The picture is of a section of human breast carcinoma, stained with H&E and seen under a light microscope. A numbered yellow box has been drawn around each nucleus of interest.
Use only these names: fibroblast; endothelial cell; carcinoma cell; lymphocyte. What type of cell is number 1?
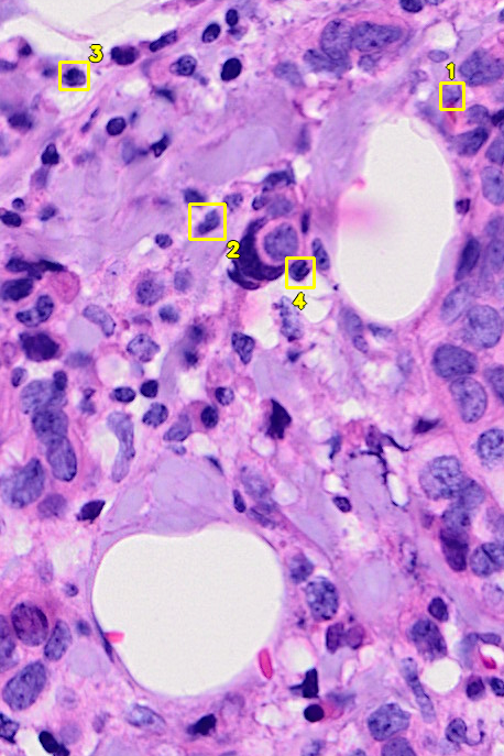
endothelial cell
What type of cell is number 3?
lymphocyte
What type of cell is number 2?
lymphocyte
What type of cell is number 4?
lymphocyte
